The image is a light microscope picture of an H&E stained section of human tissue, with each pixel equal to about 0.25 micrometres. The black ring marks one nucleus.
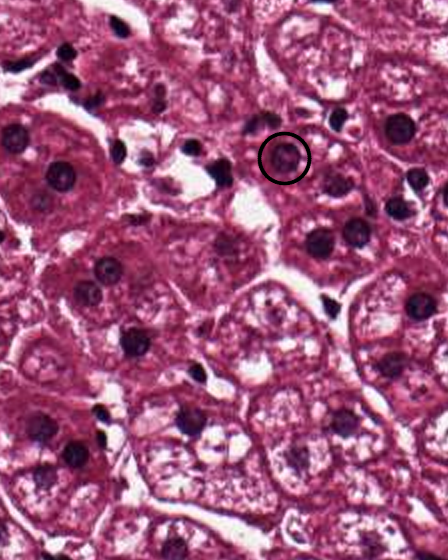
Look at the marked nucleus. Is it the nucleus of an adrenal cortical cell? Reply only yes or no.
yes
